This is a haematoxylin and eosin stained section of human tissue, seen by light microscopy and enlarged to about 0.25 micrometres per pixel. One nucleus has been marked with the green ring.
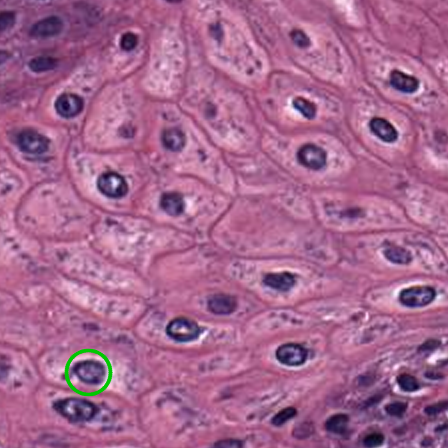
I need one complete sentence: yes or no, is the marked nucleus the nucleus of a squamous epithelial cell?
Yes, the nucleus that is marked belongs to a squamous epithelial cell.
